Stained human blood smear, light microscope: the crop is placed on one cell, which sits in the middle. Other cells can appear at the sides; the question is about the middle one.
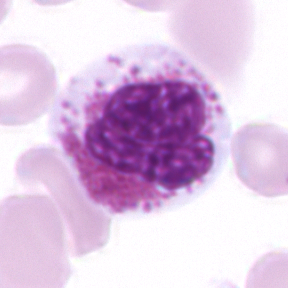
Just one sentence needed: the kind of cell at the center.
Regarding the central cell, it is an eosinophil.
